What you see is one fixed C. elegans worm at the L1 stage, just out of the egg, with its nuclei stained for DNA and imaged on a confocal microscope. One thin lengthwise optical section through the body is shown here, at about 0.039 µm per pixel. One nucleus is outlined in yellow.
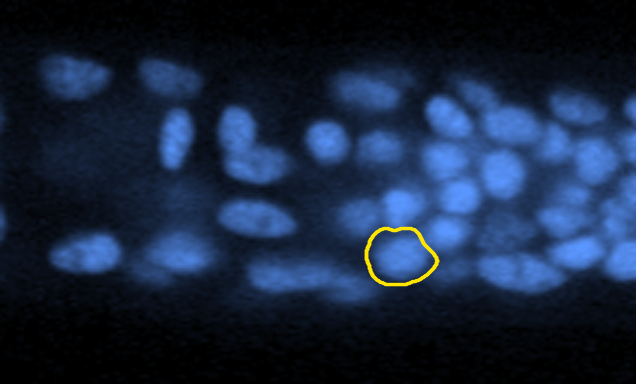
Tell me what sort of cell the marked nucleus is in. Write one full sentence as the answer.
The marked nucleus belongs to a neuron.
